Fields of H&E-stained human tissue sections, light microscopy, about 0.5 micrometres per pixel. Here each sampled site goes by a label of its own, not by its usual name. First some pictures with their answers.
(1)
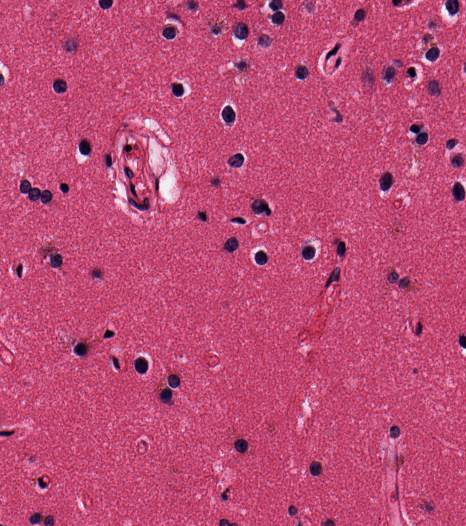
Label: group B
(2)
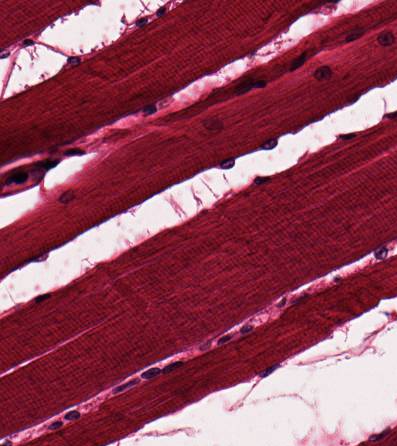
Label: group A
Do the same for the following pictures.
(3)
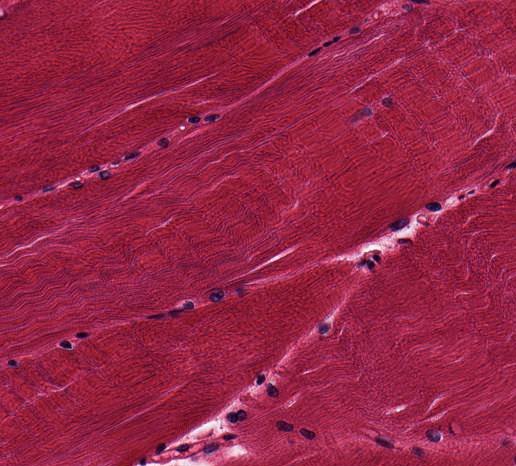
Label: group A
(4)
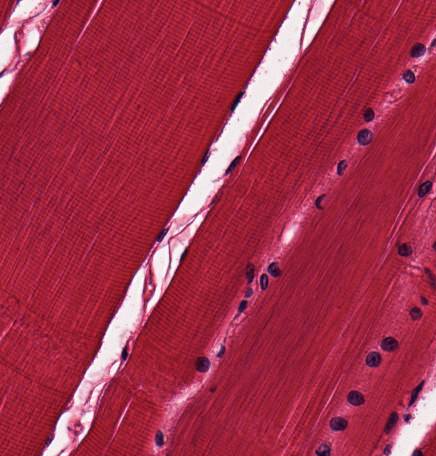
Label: group A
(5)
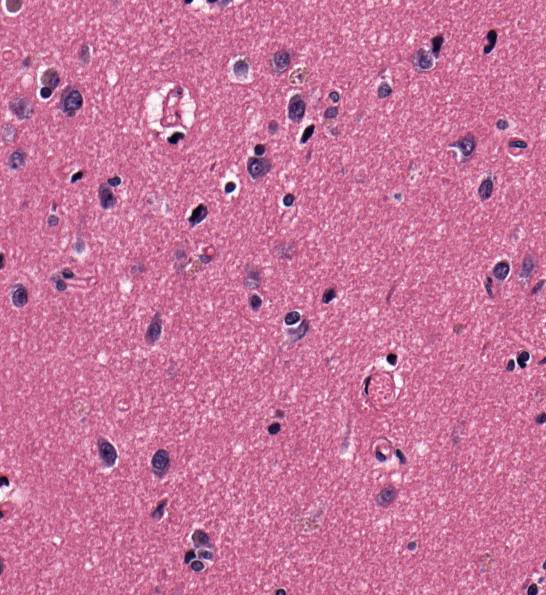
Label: group B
